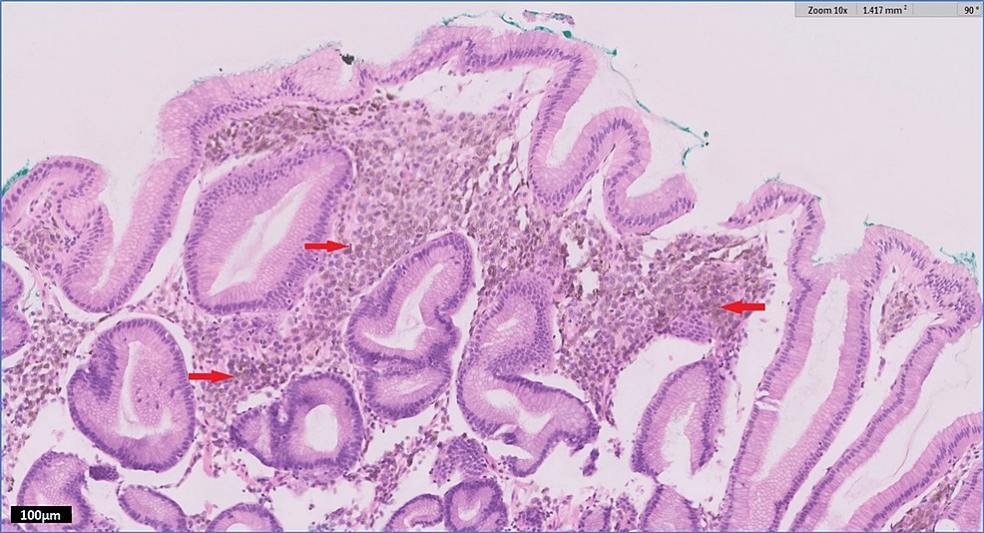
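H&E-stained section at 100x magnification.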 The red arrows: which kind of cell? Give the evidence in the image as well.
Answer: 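The arrows point at clusters of cells holding brown granular pigment. The cells lie crowded together in sheets between the epithelial pits. So: pigmented cells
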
